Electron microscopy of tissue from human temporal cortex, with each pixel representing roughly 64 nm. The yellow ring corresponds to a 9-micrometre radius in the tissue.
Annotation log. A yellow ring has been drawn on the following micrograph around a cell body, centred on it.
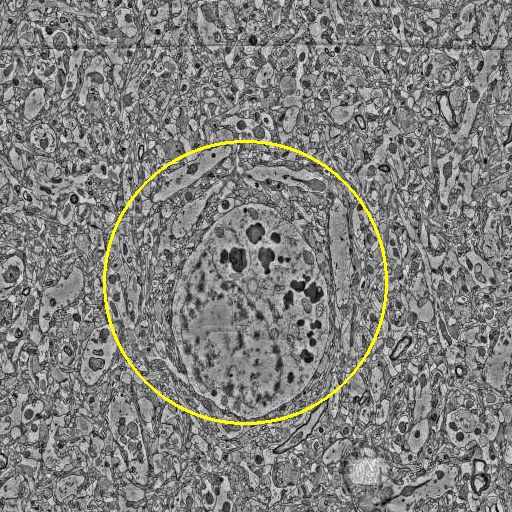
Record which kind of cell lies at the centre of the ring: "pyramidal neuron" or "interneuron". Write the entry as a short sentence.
The cell the ring is centred on is an interneuron.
